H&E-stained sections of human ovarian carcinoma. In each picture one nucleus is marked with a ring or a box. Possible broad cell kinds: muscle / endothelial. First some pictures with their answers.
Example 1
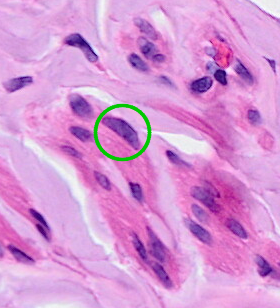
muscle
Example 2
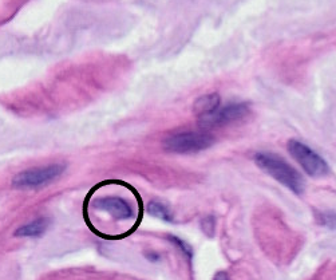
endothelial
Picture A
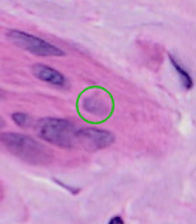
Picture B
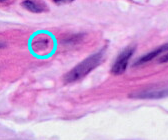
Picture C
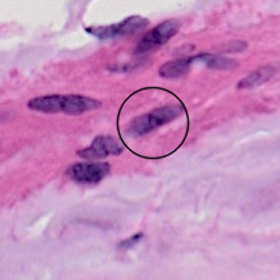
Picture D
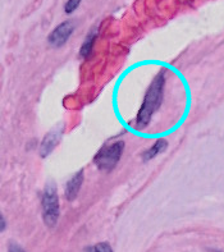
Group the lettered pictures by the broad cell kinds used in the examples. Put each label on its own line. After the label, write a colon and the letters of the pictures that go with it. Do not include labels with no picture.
muscle: A, B, C
endothelial: D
